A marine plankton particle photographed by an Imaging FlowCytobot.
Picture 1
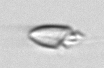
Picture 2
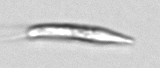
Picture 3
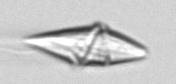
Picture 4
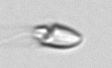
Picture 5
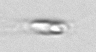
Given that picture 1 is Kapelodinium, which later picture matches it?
4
